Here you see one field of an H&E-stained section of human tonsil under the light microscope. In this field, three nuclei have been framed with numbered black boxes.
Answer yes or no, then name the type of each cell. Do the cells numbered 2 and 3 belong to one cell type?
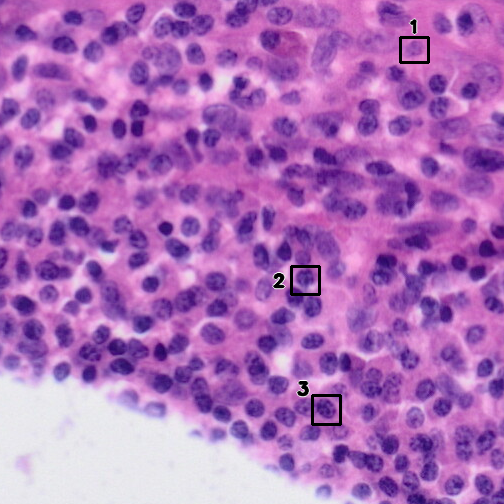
Yes, both are plasma cells.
